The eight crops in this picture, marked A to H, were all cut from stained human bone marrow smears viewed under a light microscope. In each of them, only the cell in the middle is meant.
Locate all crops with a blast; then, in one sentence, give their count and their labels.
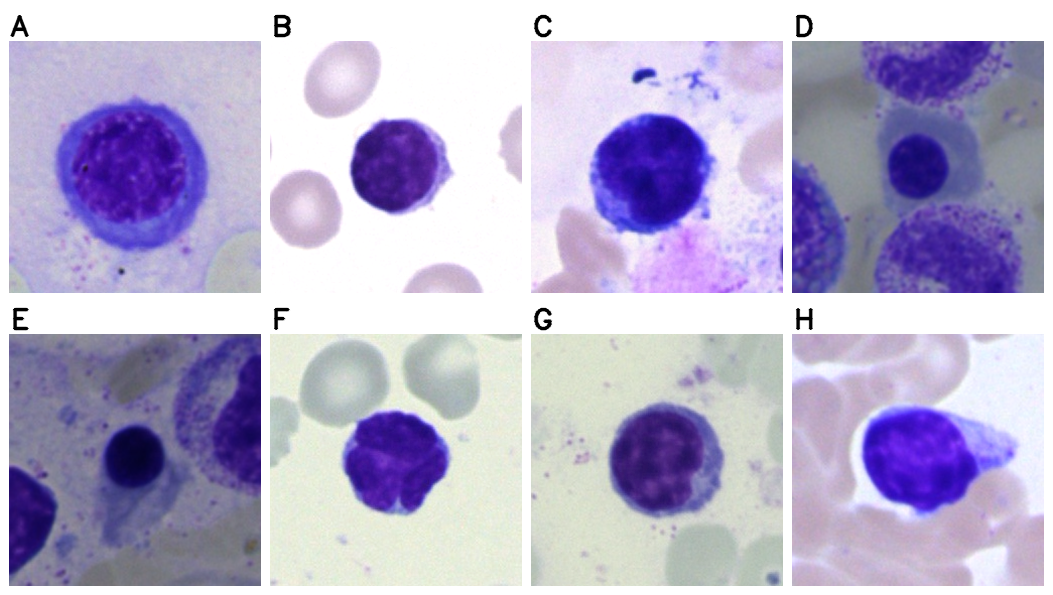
Across the crops there is just one with a blast, crop C.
